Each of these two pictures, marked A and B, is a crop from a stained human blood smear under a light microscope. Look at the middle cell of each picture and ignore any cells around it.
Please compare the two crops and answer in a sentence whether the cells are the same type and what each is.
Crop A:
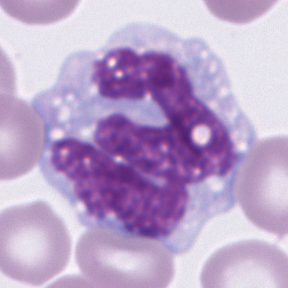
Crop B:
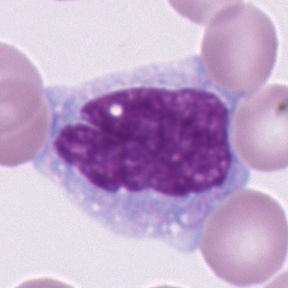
Yes, what both crops show is monocytes.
